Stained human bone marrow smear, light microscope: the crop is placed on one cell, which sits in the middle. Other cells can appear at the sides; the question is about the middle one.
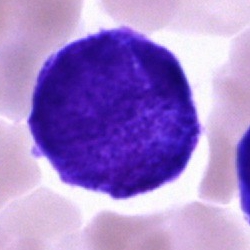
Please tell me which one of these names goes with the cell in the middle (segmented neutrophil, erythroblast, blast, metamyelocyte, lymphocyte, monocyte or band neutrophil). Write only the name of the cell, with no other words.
blast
